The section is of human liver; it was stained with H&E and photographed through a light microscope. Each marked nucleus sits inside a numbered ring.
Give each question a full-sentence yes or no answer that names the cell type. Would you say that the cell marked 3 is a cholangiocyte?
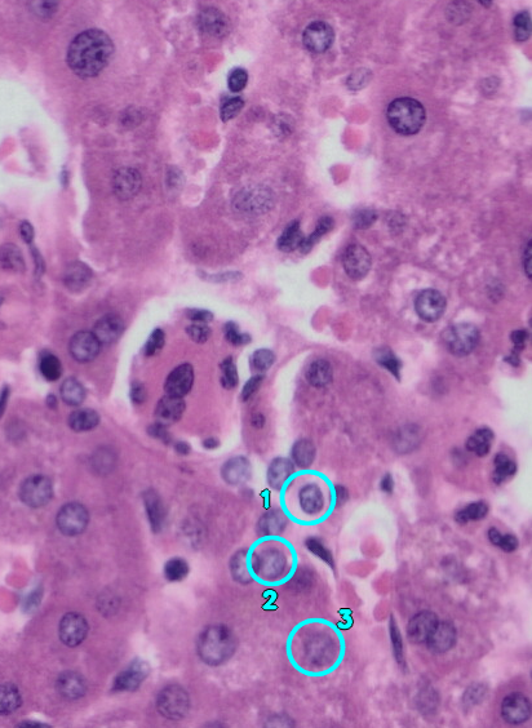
No, cell 3 is correctly identified as a hepatocyte and not as a cholangiocyte.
